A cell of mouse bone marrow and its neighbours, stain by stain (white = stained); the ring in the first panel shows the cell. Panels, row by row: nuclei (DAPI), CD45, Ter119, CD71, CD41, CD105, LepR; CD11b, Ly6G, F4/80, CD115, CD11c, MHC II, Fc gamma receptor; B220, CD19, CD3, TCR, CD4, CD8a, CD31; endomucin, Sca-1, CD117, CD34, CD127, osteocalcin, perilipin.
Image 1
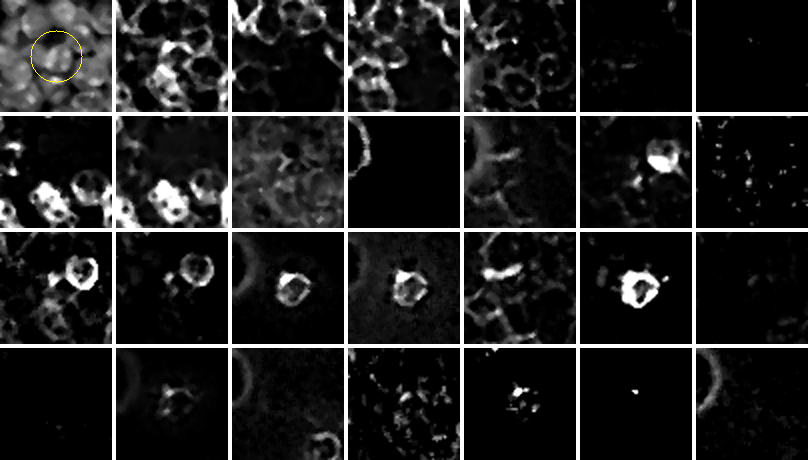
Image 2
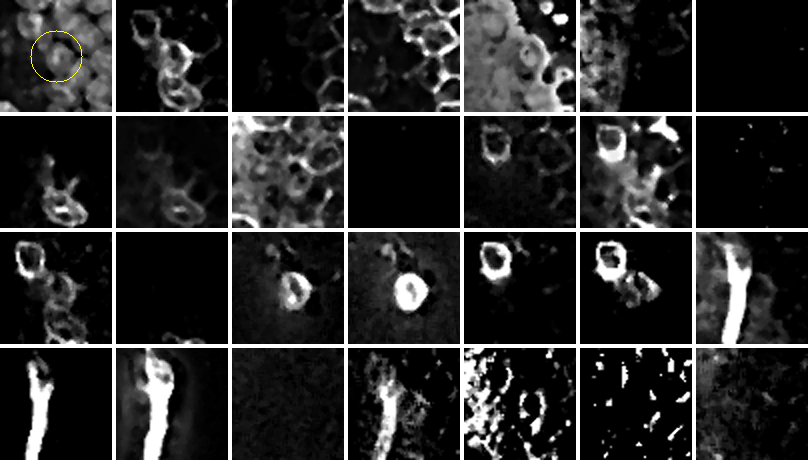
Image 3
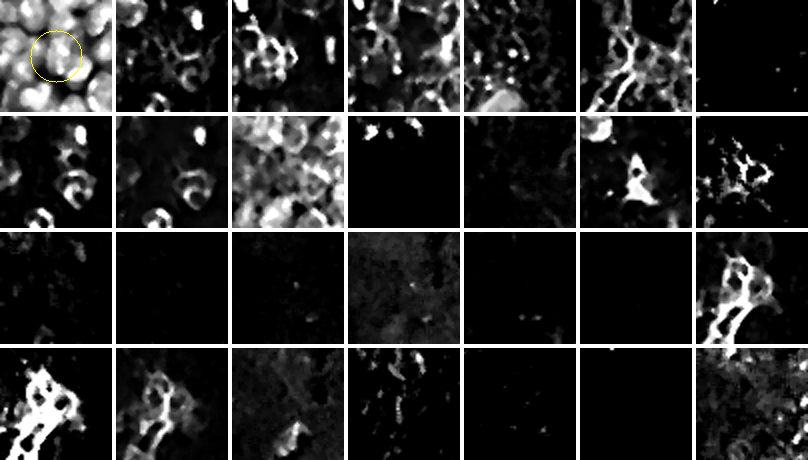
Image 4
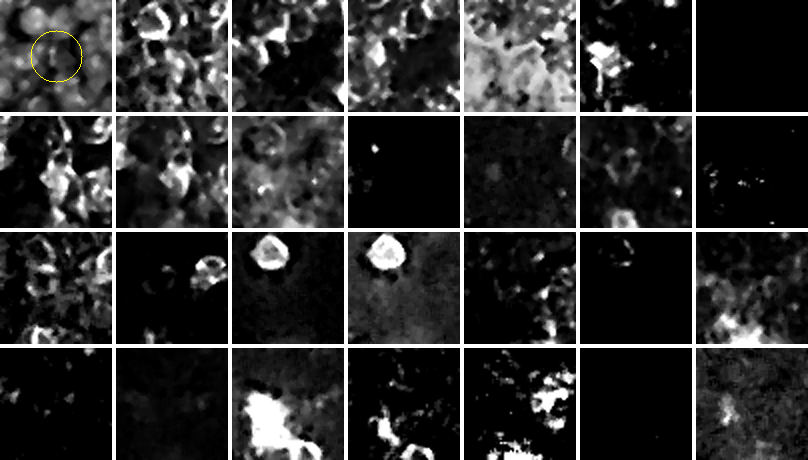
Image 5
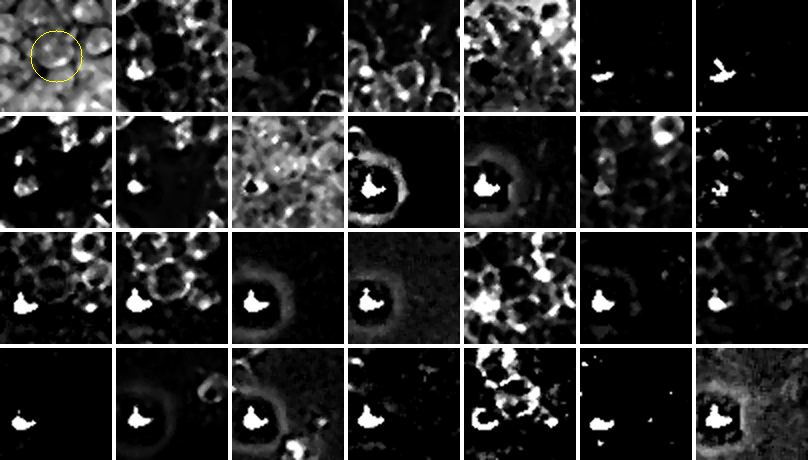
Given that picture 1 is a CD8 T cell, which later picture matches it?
2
